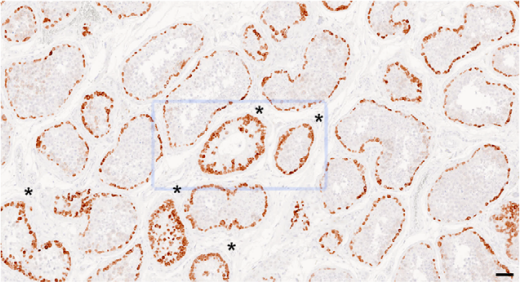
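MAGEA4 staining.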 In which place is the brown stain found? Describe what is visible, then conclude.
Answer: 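The brown-stained cells line the outermost edge of each tubule. The tubule centres are largely unstained. The answer: on the basal lamina.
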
